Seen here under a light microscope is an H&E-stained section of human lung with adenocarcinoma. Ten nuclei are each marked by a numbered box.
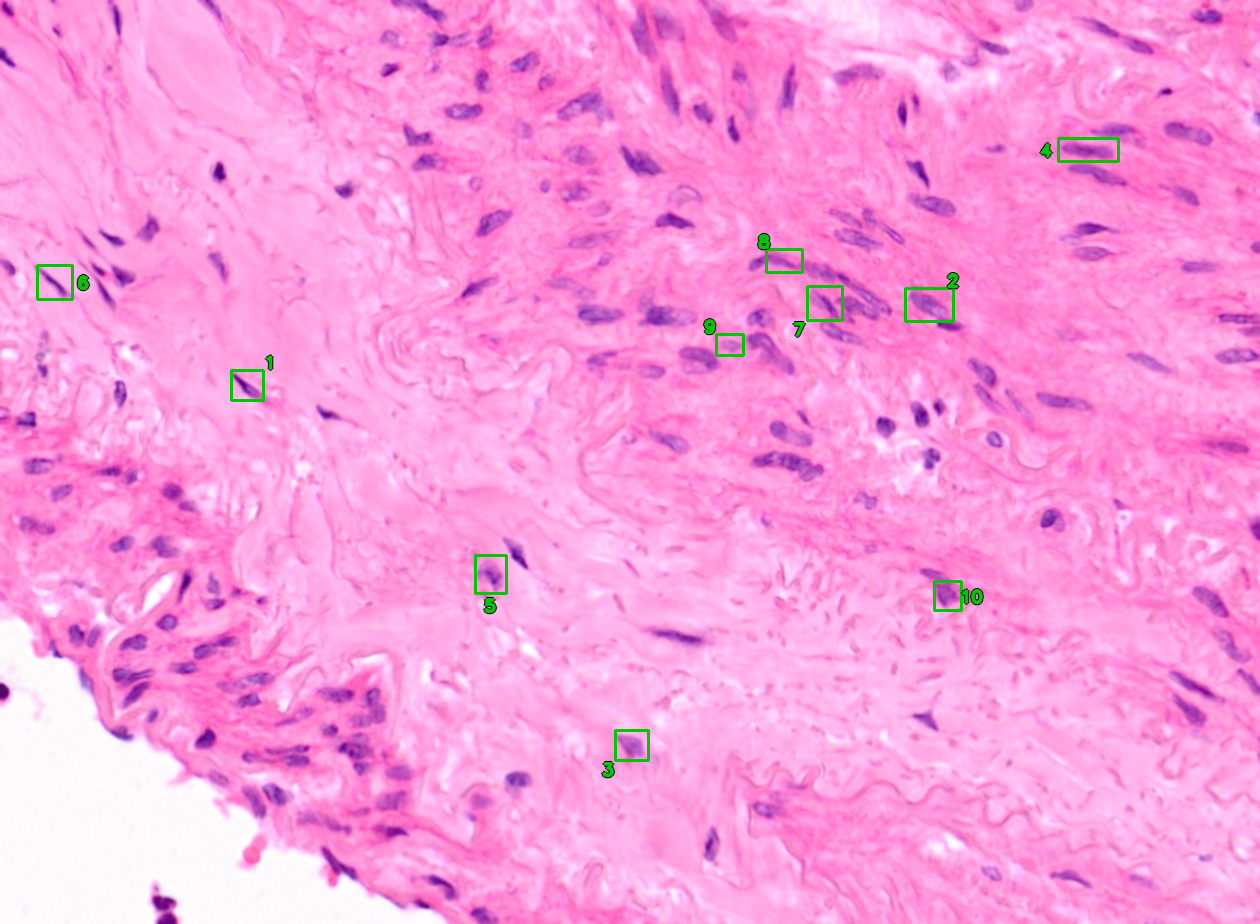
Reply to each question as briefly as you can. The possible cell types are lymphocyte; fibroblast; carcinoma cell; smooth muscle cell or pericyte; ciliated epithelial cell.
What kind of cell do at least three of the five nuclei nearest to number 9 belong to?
smooth muscle cell or pericyte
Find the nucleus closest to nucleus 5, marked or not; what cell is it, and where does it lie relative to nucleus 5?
a fibroblast; above and to the right of nucleus 5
